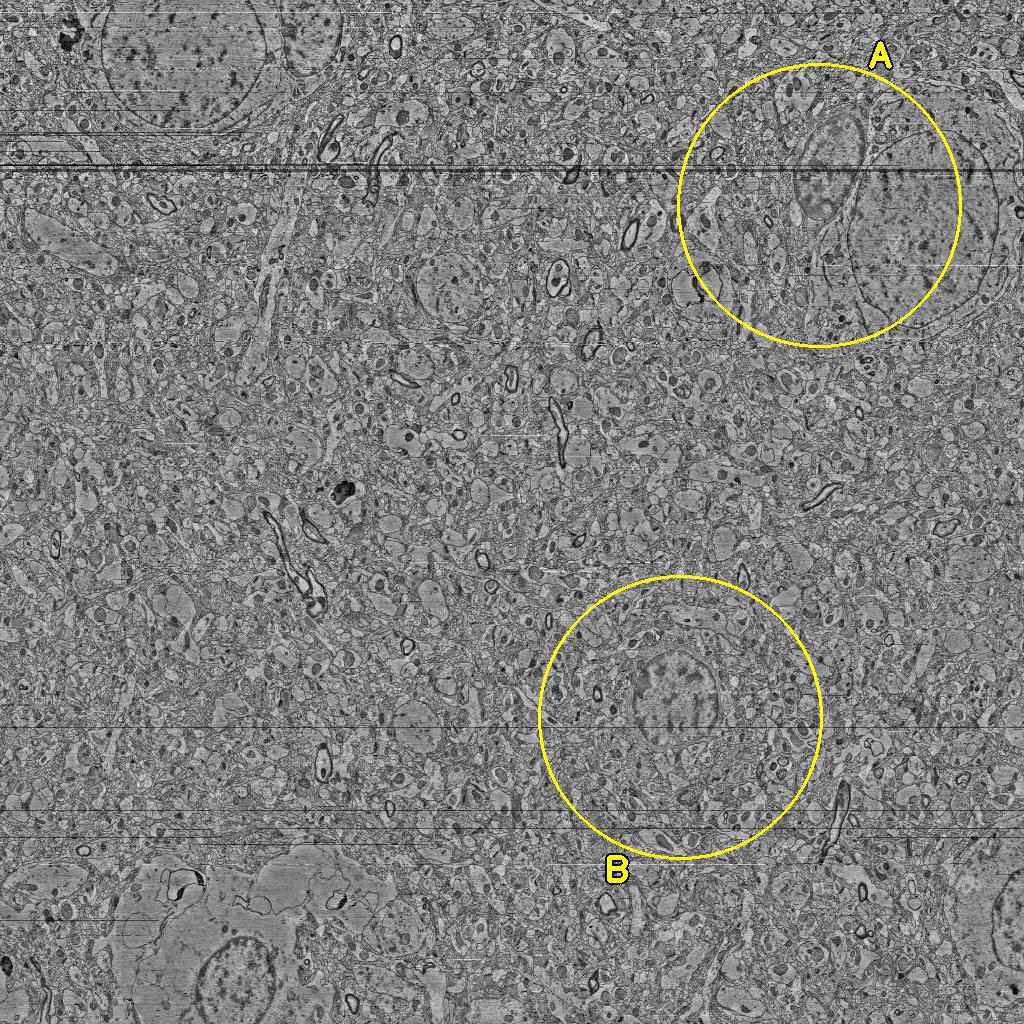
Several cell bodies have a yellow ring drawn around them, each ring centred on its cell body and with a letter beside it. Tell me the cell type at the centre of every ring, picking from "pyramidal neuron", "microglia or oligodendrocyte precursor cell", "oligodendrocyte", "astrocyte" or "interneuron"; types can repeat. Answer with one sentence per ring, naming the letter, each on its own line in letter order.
In ring A, the central cell is an oligodendrocyte.
In ring B, the central cell is an oligodendrocyte.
